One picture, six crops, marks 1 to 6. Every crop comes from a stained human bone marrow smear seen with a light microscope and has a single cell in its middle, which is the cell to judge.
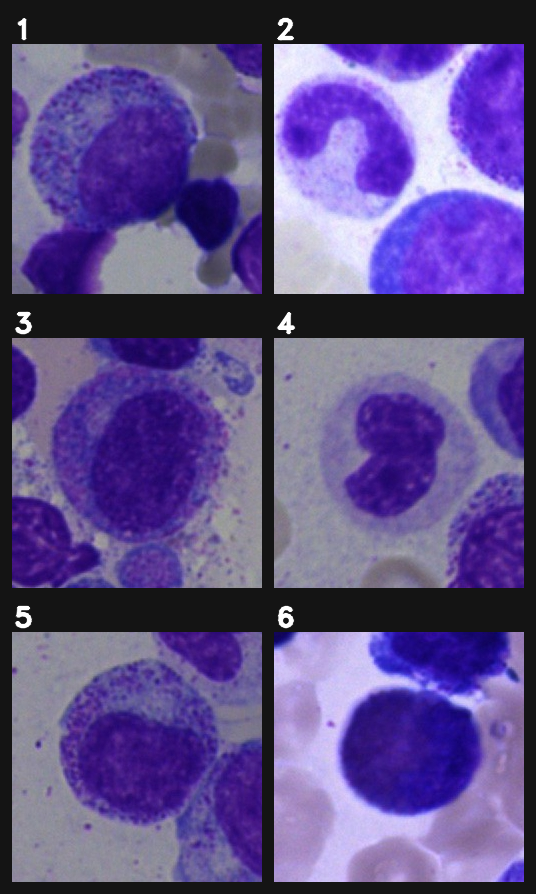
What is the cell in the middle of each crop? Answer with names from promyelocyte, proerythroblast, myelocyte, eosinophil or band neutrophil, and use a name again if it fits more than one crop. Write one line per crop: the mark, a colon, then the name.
1: promyelocyte
2: band neutrophil
3: promyelocyte
4: band neutrophil
5: myelocyte
6: eosinophil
